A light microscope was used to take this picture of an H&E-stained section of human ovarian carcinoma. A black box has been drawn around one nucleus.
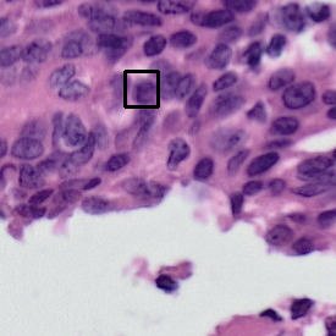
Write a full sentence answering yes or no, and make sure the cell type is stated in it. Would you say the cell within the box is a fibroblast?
No, the cell within the box is not a fibroblast, being instead a carcinoma cell.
